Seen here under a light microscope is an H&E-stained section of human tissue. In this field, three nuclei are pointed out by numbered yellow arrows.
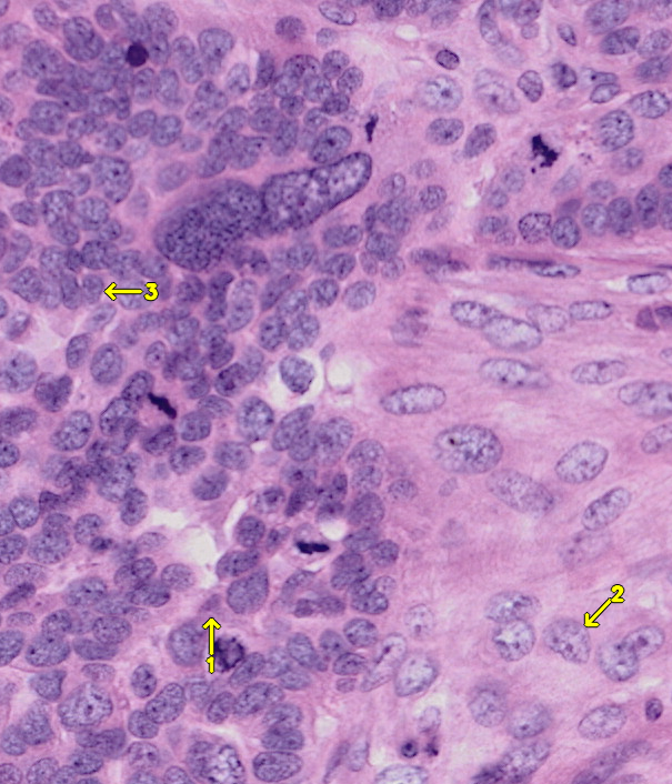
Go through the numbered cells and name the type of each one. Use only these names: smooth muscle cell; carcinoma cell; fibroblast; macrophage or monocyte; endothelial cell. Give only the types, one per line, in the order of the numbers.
carcinoma cell
fibroblast
carcinoma cell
